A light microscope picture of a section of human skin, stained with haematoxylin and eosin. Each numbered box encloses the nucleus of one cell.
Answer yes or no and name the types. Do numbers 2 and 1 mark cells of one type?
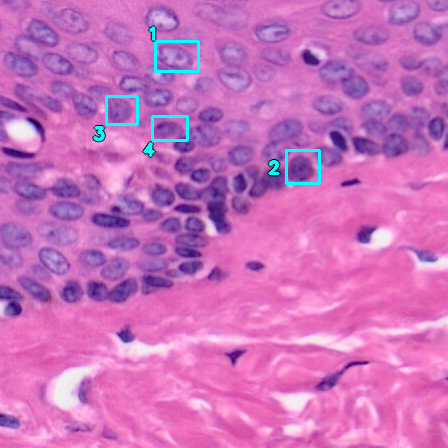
No, listen: cell 2 is a basal keratinocyte and cell 1 is a suprabasal keratinocyte.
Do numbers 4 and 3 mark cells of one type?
Yes, cells 4 and 3 have the same identity; both are basal keratinocytes.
